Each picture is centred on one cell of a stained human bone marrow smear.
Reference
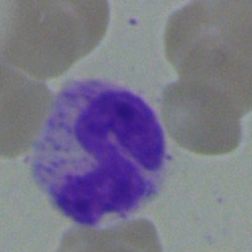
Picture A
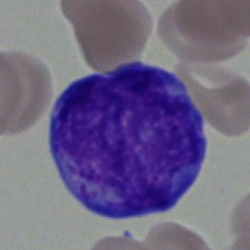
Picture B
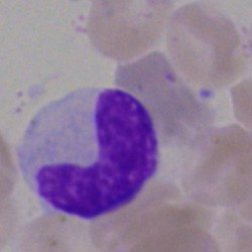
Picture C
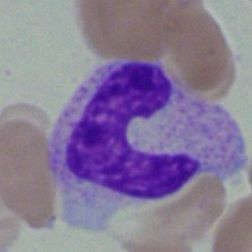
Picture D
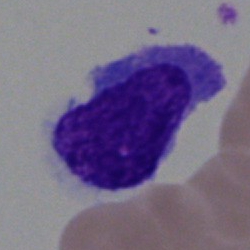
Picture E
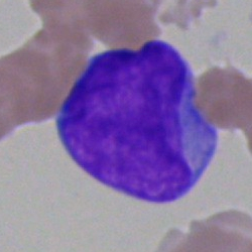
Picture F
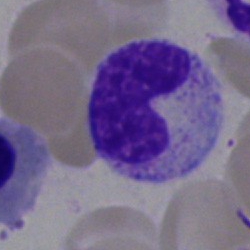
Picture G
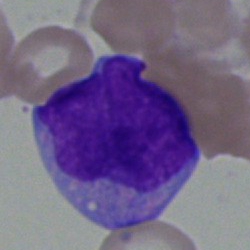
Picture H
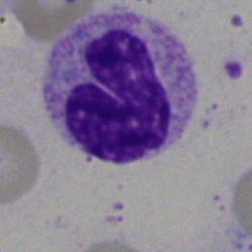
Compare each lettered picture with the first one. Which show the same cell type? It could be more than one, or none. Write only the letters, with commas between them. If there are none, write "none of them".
B, C, F, H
